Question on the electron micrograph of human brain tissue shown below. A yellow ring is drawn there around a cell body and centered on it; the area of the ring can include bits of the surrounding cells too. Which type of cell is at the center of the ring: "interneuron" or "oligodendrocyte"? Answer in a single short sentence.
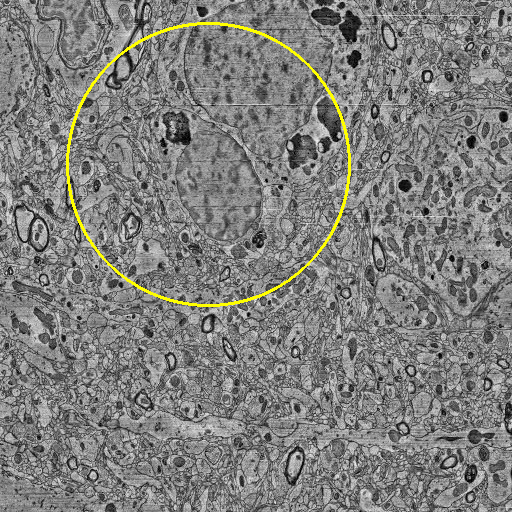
The ring is centered on an oligodendrocyte.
